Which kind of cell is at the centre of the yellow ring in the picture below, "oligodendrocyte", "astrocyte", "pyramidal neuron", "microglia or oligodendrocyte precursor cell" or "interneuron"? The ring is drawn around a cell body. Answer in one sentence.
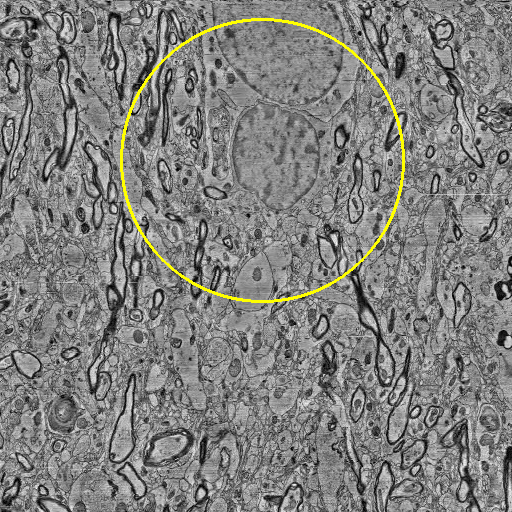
The ring's central cell is an oligodendrocyte.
